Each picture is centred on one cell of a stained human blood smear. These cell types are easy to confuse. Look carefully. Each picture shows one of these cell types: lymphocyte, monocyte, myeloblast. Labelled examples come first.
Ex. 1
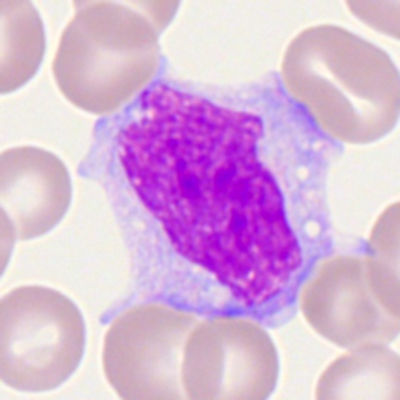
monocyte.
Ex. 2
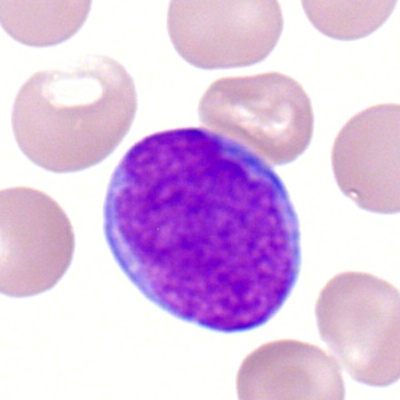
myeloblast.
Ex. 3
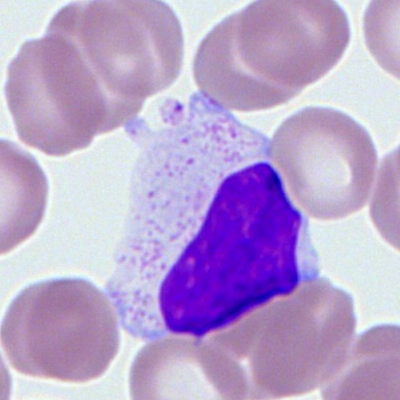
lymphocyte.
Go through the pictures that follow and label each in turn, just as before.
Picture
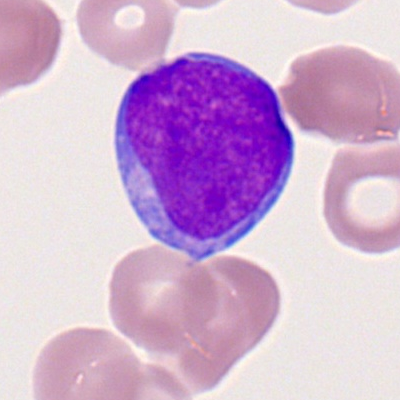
myeloblast.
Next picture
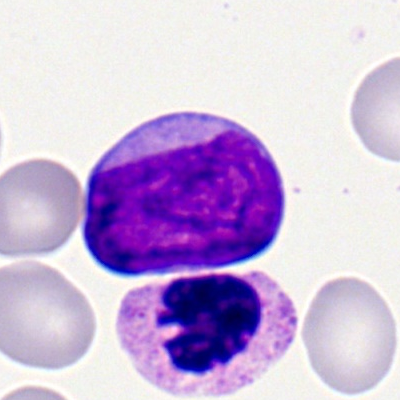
myeloblast.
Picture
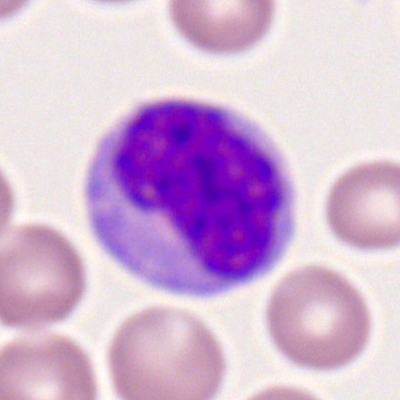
monocyte.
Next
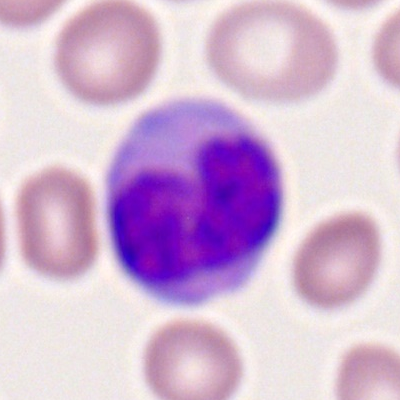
monocyte.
